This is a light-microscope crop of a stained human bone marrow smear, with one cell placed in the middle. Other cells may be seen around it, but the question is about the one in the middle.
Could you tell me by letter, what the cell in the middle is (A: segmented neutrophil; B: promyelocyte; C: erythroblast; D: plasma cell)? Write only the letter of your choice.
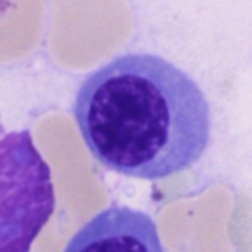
C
